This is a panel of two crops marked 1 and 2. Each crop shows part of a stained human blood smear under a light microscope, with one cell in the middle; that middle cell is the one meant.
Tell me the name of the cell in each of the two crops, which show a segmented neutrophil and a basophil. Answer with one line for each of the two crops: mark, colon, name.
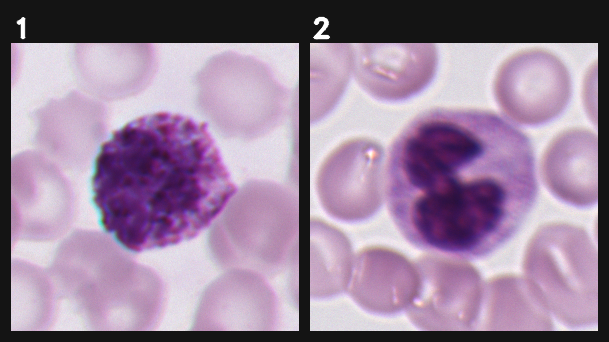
1: basophil
2: segmented neutrophil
